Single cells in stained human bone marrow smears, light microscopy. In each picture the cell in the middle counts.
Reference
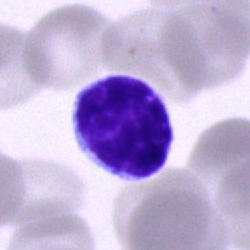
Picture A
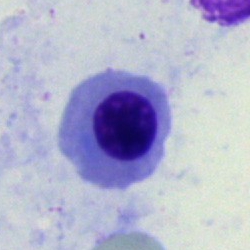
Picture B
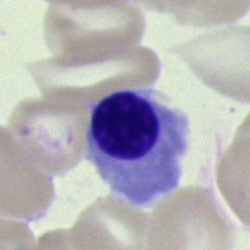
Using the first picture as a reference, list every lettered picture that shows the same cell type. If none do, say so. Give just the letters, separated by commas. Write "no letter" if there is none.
no letter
